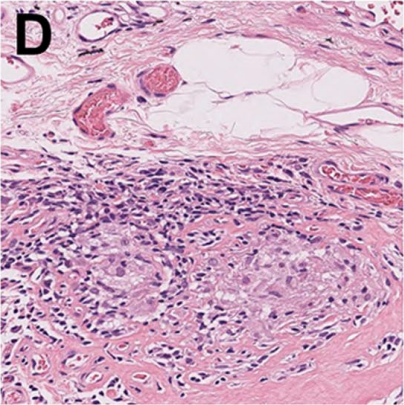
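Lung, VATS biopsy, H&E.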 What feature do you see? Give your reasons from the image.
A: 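Poorly formed granulomas. A loose nodular cluster of pale cells with oval nuclei lies in the lower half. Many small dark round cells surround the pale cluster. The cluster has no sharp border.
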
